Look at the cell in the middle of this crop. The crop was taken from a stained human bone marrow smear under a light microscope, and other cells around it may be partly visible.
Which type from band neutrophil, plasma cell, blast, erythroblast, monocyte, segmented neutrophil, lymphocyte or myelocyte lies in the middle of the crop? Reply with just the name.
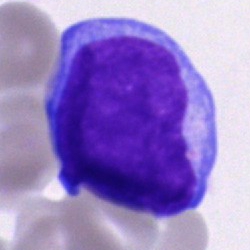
blast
